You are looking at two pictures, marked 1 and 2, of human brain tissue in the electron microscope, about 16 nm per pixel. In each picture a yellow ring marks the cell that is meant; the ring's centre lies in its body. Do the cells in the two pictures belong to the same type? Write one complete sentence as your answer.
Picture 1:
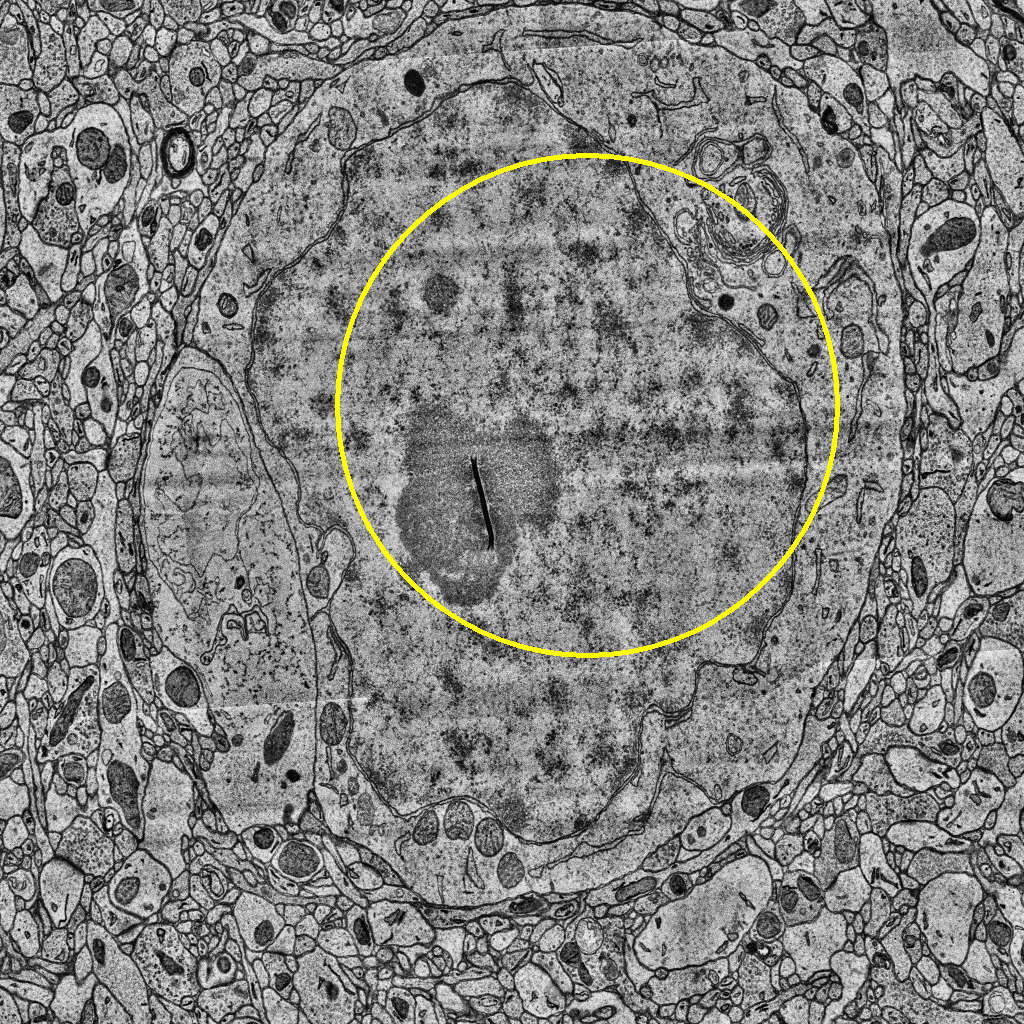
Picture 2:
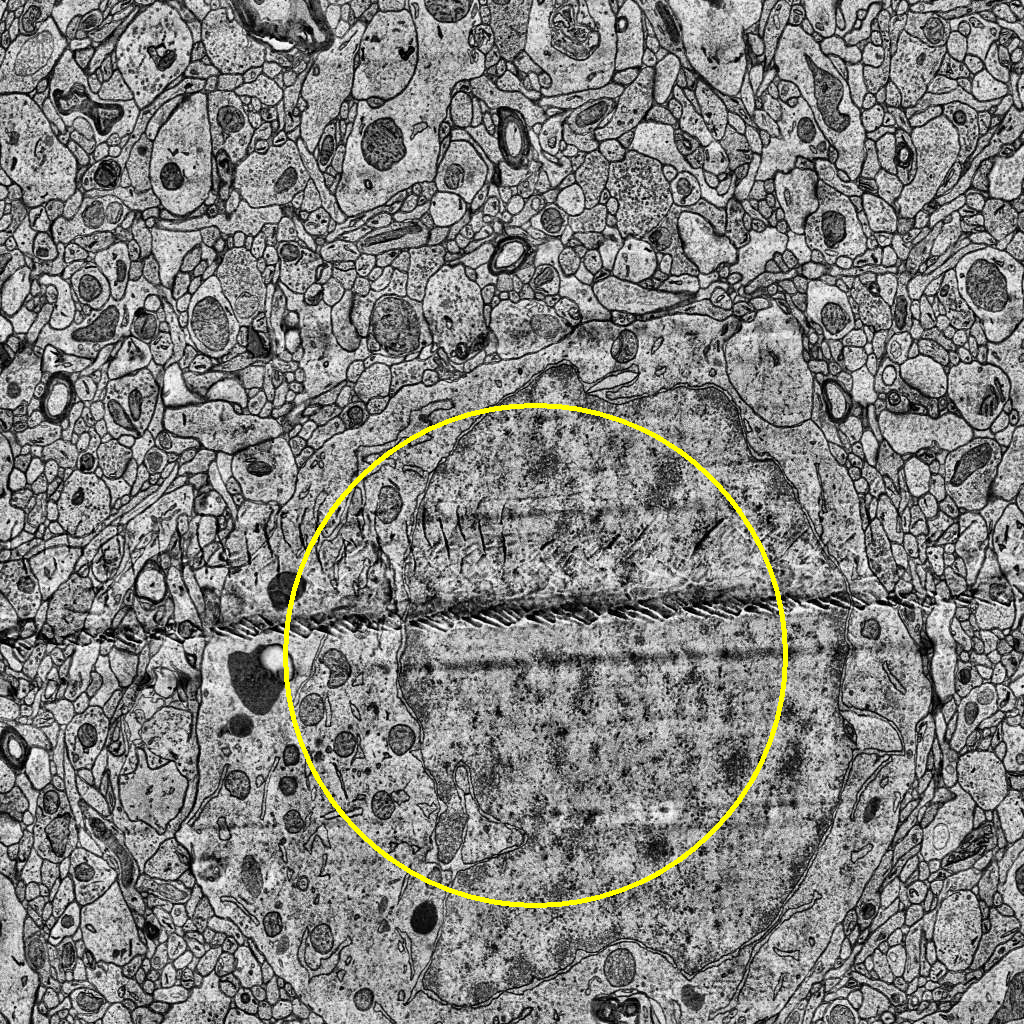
Yes, the two pictures both show interneurons.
